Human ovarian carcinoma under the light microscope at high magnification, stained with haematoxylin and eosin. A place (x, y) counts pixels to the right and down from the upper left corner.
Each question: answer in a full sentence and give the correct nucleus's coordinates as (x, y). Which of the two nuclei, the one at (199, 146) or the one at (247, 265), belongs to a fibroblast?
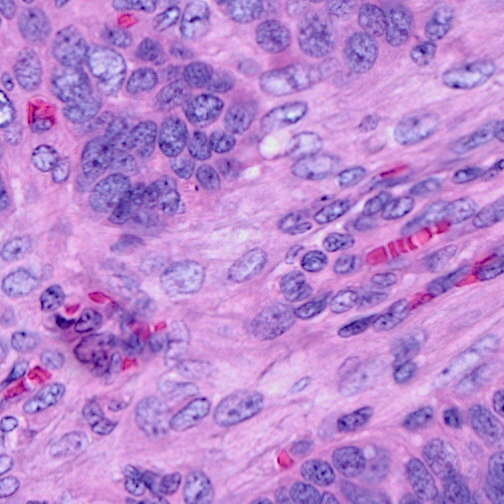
The nucleus at (247, 265) is the one of the two that belongs to a fibroblast.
